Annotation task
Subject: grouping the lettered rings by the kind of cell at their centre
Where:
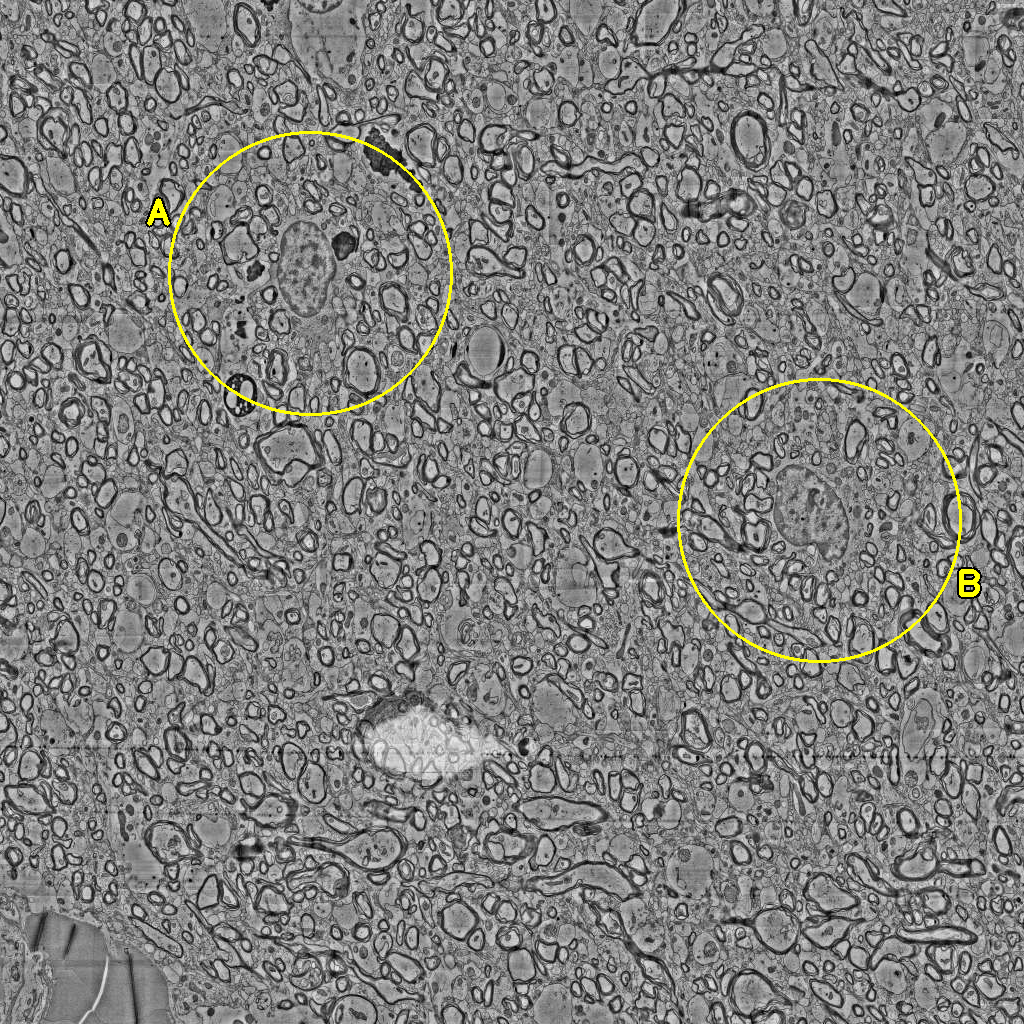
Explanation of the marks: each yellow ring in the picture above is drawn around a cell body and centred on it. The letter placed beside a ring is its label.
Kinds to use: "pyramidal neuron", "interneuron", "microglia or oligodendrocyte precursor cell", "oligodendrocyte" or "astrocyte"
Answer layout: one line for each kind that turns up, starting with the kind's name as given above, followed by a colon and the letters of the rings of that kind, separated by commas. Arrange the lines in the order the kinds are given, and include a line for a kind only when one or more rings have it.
oligodendrocyte: A, B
